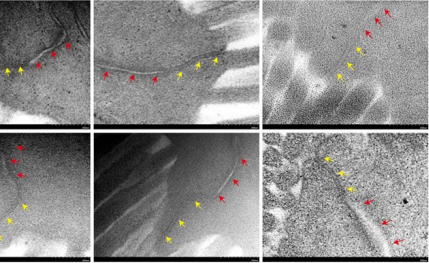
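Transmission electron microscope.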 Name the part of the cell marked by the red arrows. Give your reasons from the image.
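The marked stretch of membrane lies next to the stretch marked by the yellow arrows. So: adherens junction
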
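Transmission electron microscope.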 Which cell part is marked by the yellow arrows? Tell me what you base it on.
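The yellow arrows lie along the contact line between two neighbouring cells. The marked stretch of membrane lies next to the stretch marked by the red arrows. That points to this answer: tight junction.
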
